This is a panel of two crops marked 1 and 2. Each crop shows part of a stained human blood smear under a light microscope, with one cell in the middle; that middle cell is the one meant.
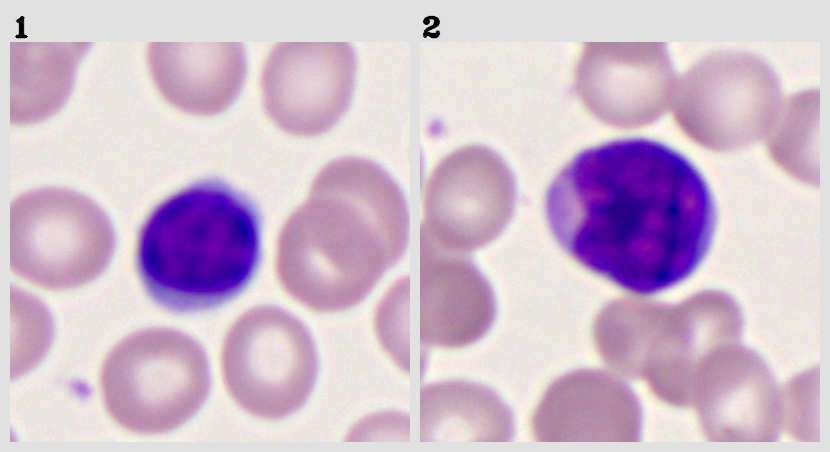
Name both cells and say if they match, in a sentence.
No, it is crop 1 that shows a lymphocyte, and crop 2 shows a myeloblast.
